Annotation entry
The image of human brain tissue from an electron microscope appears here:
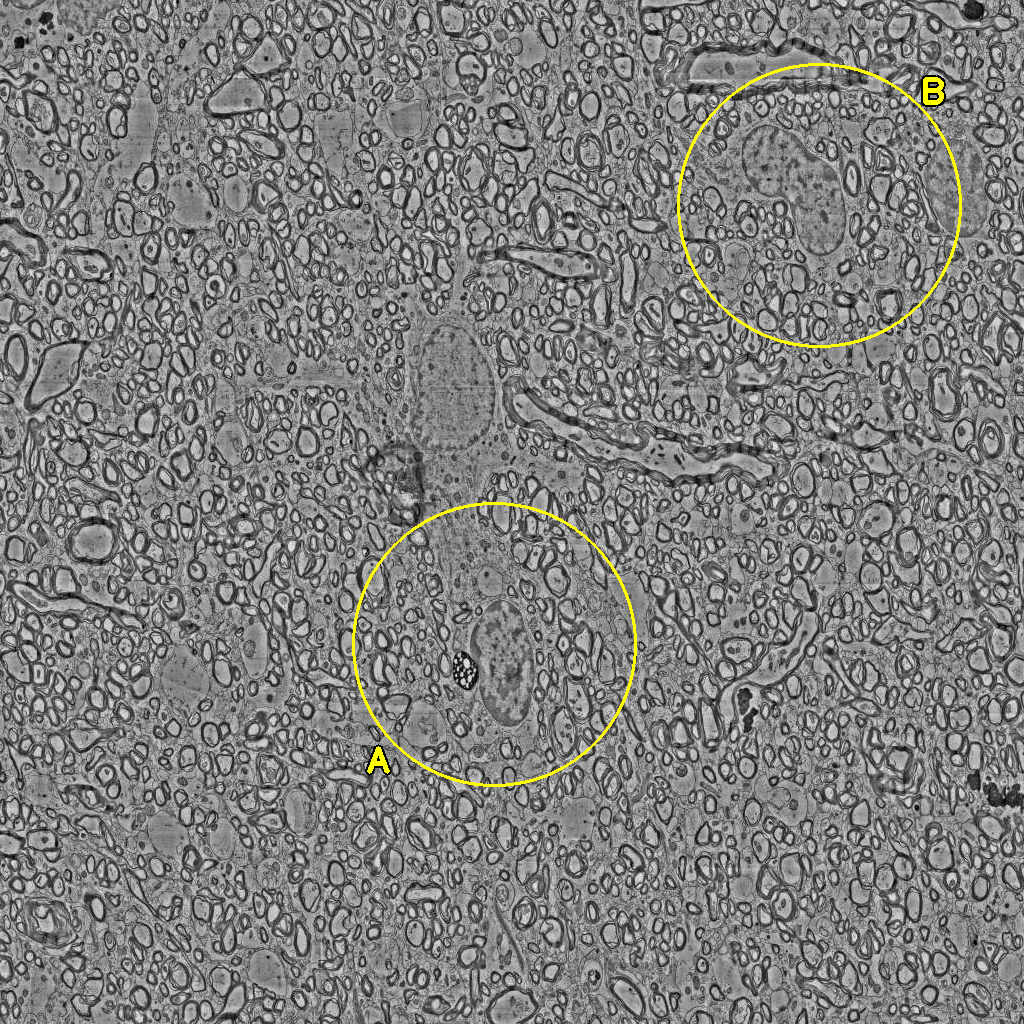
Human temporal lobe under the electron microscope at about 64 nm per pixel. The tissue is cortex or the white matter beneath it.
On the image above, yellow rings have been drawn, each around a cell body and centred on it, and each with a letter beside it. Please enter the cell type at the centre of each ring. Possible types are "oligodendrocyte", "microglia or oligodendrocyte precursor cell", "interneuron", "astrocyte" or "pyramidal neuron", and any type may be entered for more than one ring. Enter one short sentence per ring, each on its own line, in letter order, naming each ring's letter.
The cell that ring A is centred on is a microglial cell or oligodendrocyte precursor cell.
The cell that ring B is centred on is a microglial cell or oligodendrocyte precursor cell.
